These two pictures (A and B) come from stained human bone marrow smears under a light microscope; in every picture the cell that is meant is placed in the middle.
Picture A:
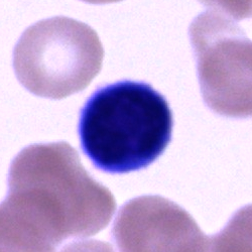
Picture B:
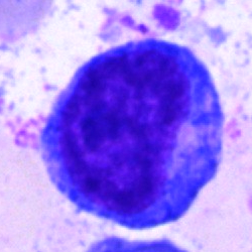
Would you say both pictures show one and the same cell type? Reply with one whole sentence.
No, picture A shows a lymphocyte and picture B shows a blast.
